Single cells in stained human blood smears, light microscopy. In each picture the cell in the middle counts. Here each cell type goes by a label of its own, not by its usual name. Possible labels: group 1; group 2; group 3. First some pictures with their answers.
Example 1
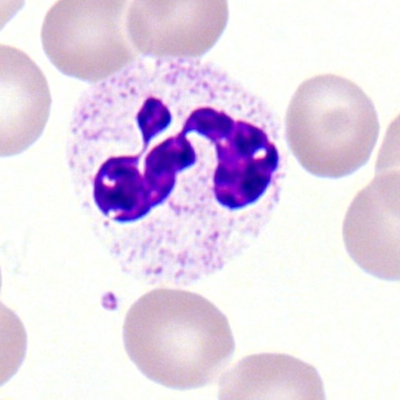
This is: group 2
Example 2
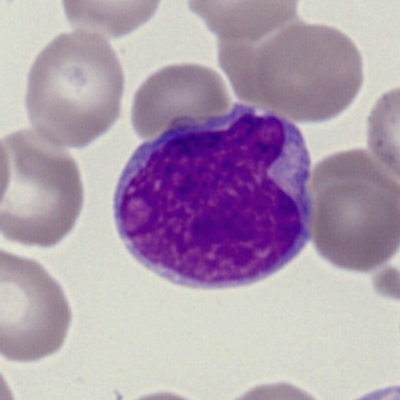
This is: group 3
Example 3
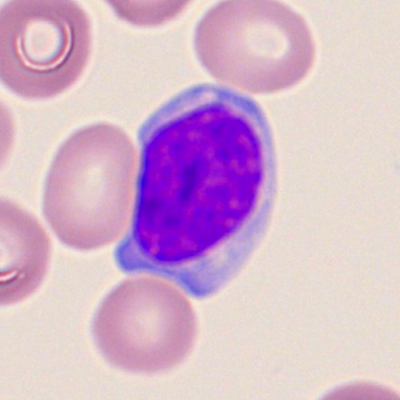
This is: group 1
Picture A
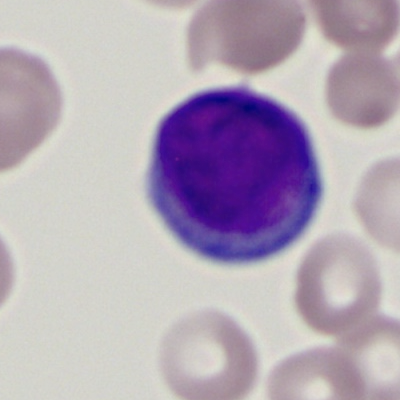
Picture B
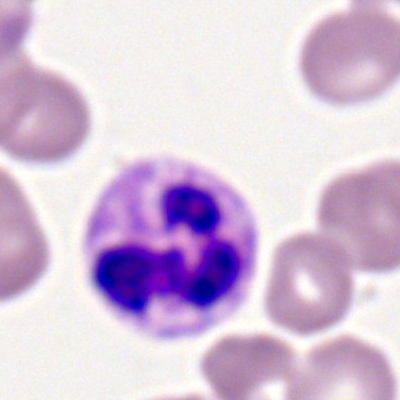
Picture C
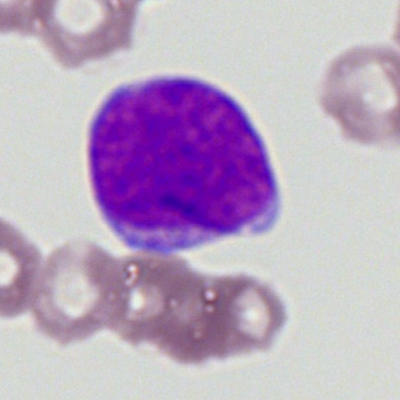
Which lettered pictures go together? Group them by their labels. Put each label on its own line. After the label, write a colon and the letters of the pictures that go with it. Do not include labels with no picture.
group 2: B
group 3: A, C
